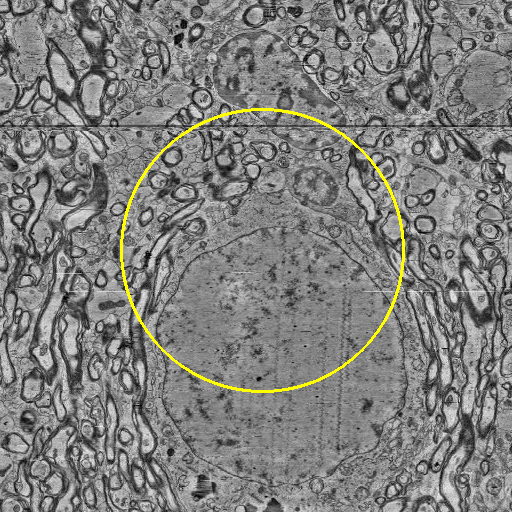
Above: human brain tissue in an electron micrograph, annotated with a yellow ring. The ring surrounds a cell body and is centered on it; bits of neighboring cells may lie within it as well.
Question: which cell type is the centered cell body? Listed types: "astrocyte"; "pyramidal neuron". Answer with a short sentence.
The centered cell body is a pyramidal neuron.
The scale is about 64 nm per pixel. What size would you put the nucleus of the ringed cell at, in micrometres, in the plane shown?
About 17 micrometers across, in this plane.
